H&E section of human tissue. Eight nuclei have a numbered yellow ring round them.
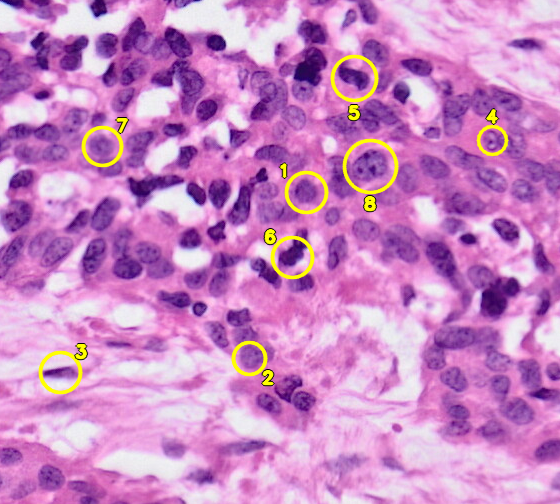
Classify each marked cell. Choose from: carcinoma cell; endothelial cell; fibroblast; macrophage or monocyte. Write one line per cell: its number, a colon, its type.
1: carcinoma cell
2: carcinoma cell
3: fibroblast
4: endothelial cell
5: macrophage or monocyte
6: carcinoma cell
7: carcinoma cell
8: macrophage or monocyte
